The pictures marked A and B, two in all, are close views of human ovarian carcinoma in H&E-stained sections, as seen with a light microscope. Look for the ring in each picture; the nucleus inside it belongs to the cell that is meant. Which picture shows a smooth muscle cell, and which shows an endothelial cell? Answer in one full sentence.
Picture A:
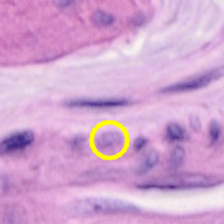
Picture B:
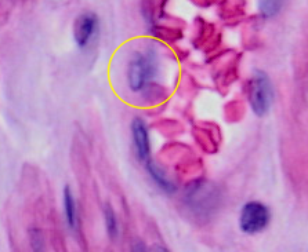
Picture B shows an endothelial cell, while picture A shows a smooth muscle cell.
